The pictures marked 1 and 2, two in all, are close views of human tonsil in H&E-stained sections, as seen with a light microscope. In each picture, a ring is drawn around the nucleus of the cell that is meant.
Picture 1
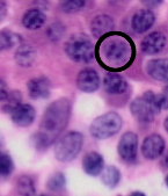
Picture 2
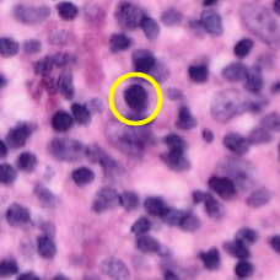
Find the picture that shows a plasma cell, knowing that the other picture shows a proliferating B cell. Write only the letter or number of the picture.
1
